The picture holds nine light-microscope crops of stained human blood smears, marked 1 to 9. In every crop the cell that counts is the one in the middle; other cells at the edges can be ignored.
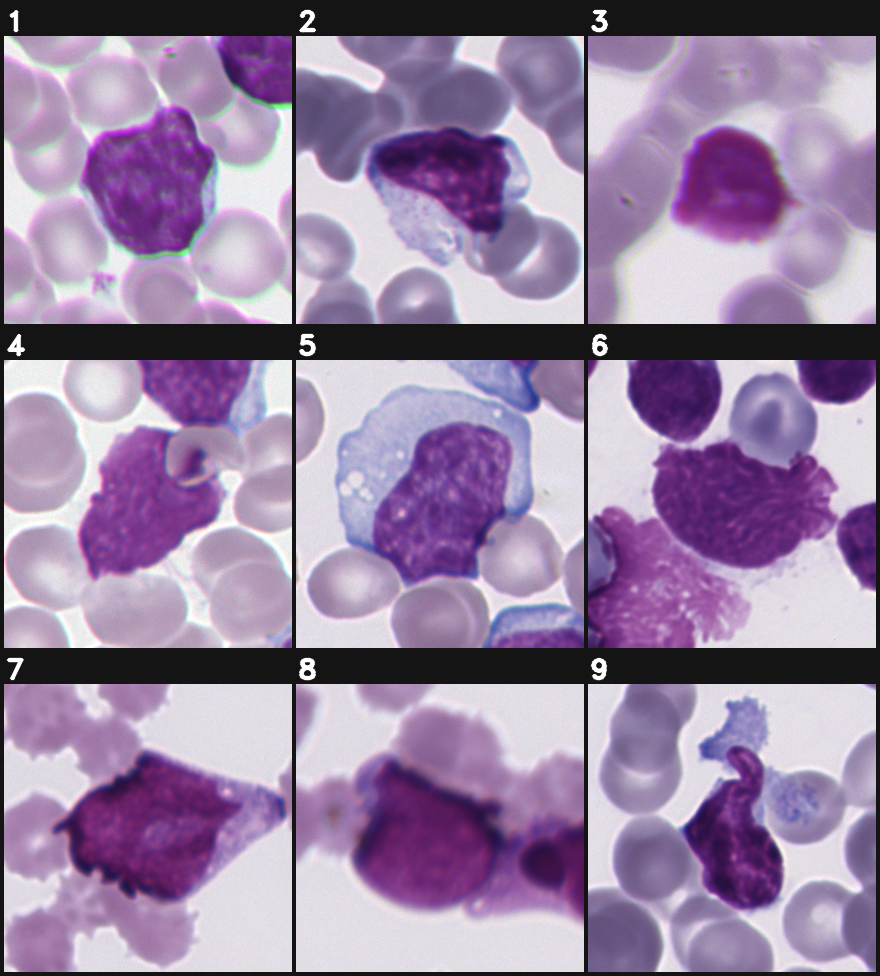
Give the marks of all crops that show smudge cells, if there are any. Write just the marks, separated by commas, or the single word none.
3, 4, 6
